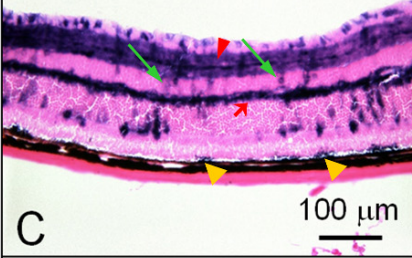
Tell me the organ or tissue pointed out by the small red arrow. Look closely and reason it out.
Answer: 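The arrow points near a thin dark band above the thick outer nuclear layer.
Conclusion: outer plexiform layer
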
